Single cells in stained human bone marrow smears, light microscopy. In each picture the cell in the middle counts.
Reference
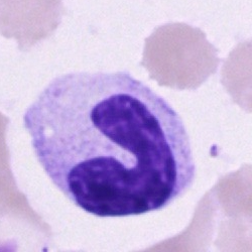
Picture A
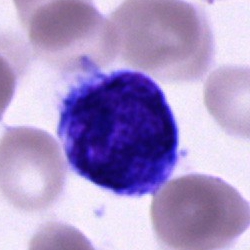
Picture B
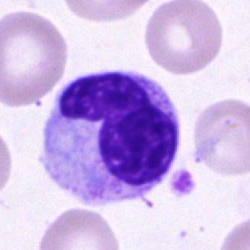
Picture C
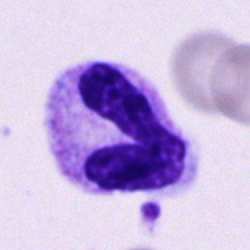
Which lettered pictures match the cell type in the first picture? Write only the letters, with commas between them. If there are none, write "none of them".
B, C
